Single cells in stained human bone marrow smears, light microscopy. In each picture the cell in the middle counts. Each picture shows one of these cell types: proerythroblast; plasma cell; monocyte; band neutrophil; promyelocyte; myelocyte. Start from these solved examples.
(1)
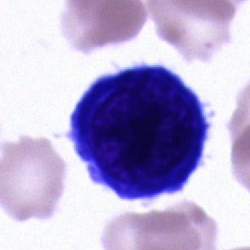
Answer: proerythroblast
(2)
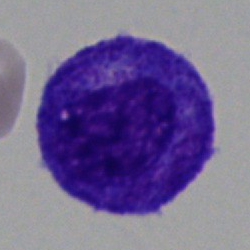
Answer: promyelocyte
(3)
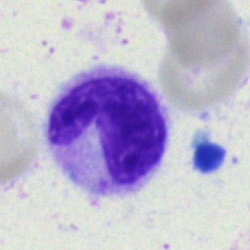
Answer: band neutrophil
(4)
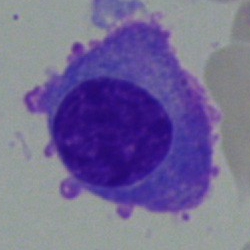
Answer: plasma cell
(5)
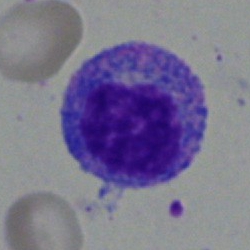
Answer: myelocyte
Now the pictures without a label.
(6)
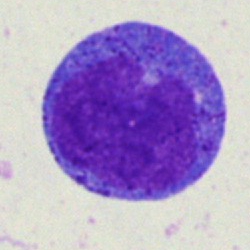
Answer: promyelocyte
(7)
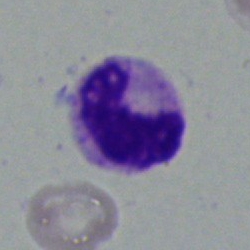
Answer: band neutrophil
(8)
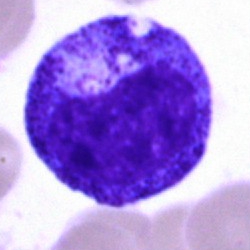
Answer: promyelocyte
